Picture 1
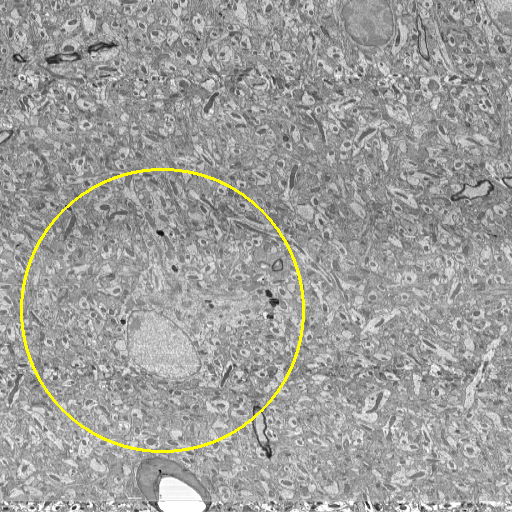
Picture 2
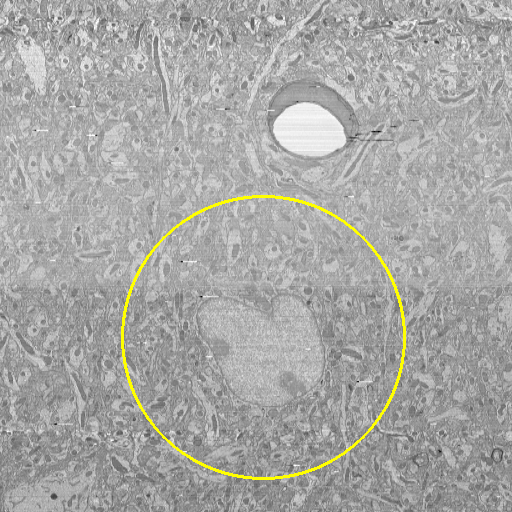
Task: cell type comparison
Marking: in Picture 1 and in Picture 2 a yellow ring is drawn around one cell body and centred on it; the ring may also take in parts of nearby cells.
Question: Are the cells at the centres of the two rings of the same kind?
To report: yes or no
yes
